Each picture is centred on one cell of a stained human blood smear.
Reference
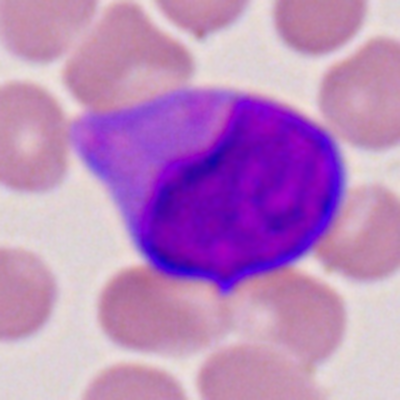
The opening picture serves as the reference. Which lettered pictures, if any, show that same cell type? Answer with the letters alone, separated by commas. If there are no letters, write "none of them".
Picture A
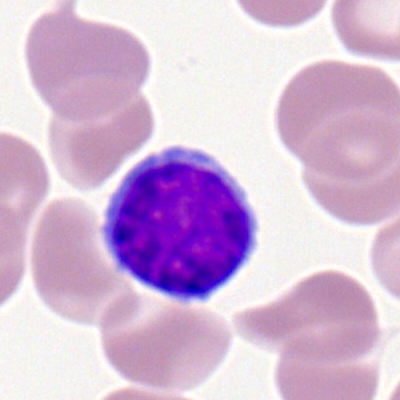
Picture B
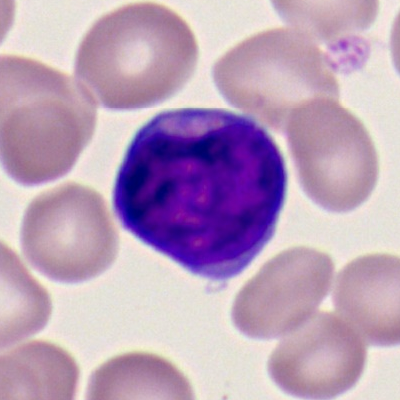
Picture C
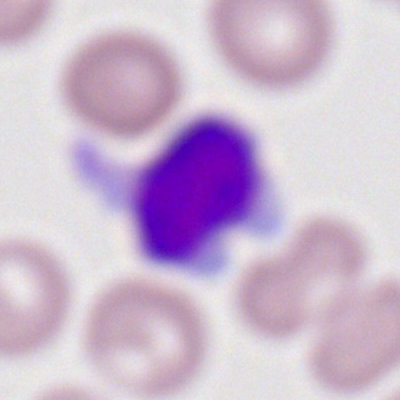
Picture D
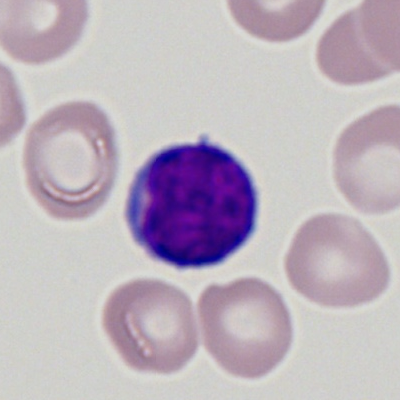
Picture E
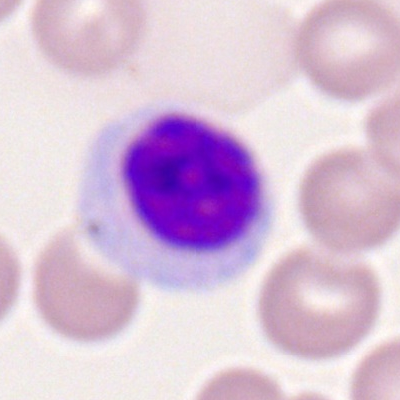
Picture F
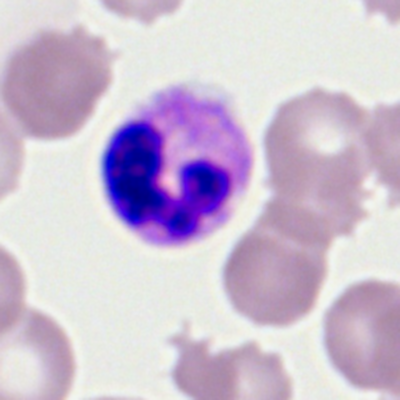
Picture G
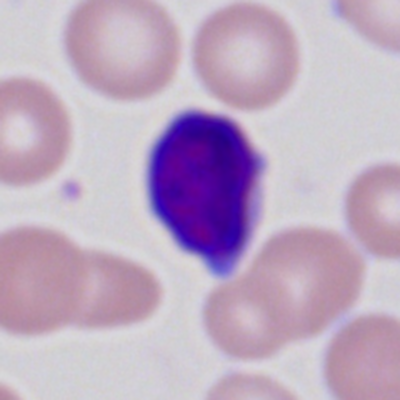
B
